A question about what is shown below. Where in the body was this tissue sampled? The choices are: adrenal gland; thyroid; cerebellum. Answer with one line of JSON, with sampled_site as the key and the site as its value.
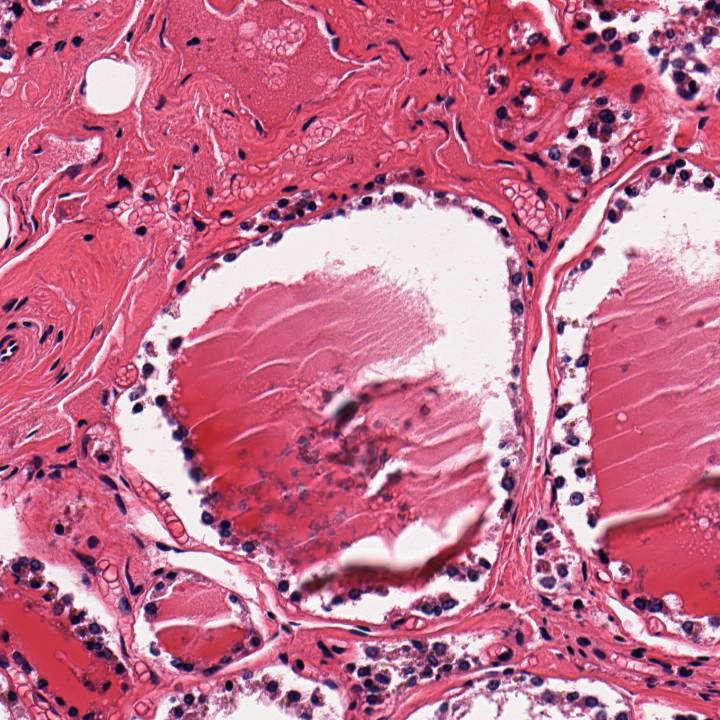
{"sampled_site": "thyroid"}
